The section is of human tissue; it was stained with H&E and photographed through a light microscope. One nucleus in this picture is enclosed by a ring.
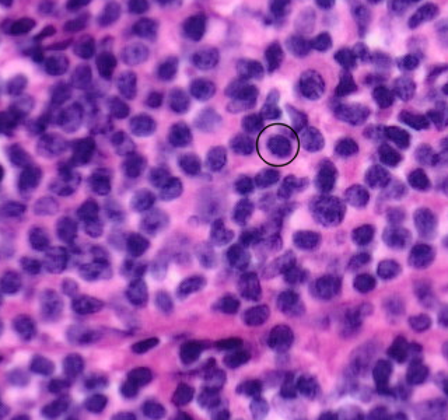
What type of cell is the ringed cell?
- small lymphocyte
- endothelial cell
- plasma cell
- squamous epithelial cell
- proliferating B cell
small lymphocyte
